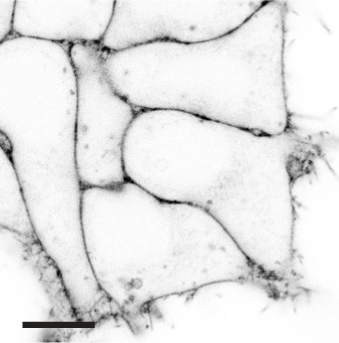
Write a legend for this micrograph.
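A cluster of adjoining cultured cells in which the plasma membrane of each cell is outlined by a thin dark line, giving polygonal and rounded cell shapes. The interiors are faint with a few scattered small dots, and fine short protrusions extend from the free edges of the cluster.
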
